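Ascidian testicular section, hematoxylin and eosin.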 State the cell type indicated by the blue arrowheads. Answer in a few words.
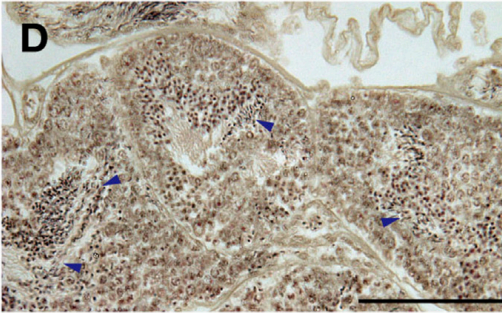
Sperm.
